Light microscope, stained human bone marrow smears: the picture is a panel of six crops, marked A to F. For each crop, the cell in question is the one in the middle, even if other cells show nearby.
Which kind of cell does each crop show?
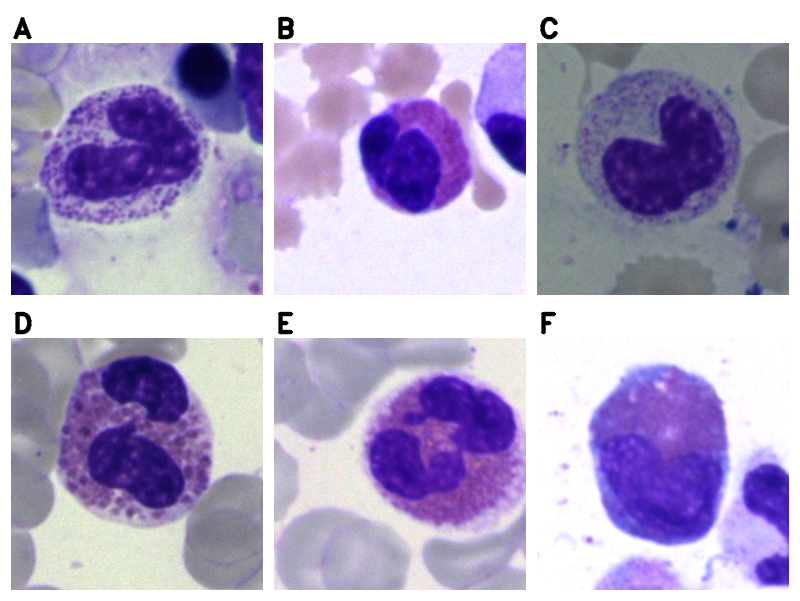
A: band neutrophil
B: eosinophil
C: band neutrophil
D: eosinophil
E: eosinophil
F: eosinophil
